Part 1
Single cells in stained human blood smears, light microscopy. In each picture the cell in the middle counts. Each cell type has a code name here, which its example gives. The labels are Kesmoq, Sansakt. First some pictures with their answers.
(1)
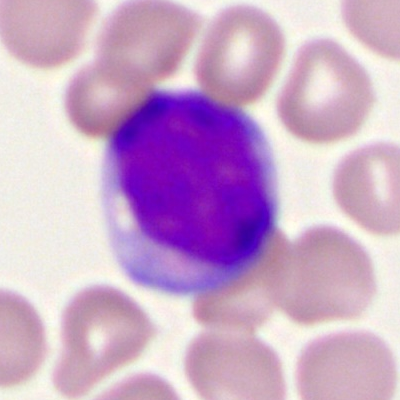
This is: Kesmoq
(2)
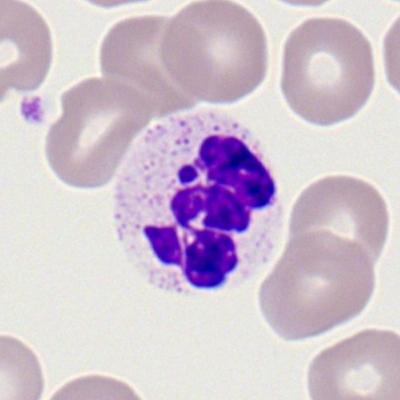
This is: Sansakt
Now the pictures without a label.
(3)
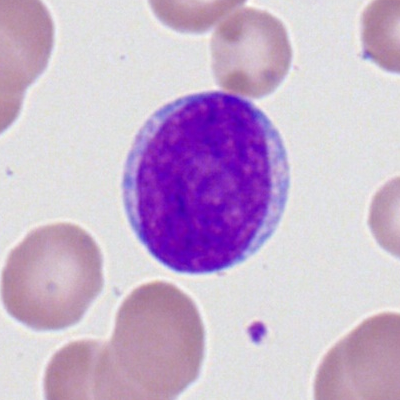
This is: Kesmoq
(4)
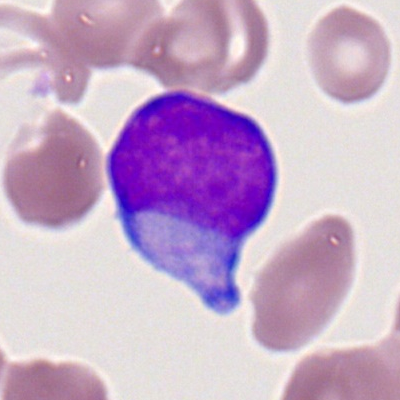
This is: Kesmoq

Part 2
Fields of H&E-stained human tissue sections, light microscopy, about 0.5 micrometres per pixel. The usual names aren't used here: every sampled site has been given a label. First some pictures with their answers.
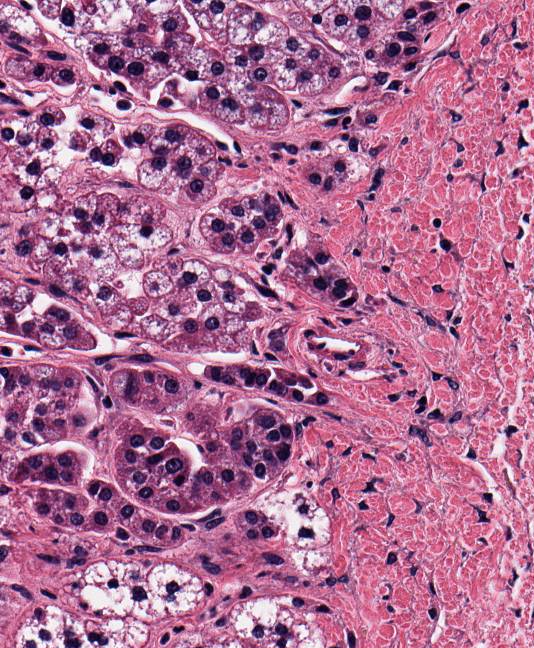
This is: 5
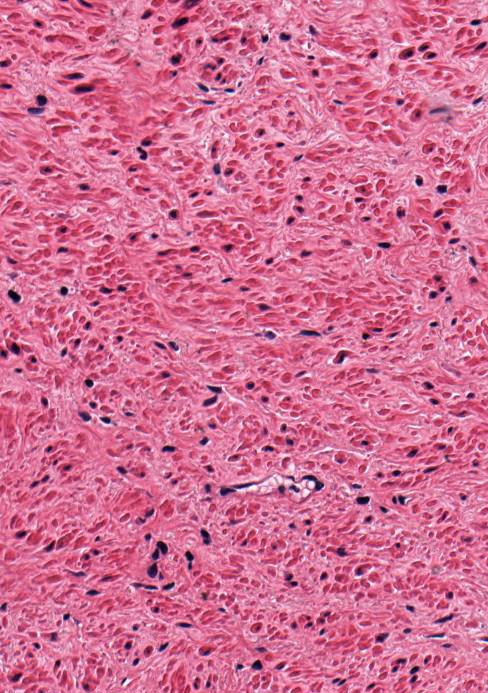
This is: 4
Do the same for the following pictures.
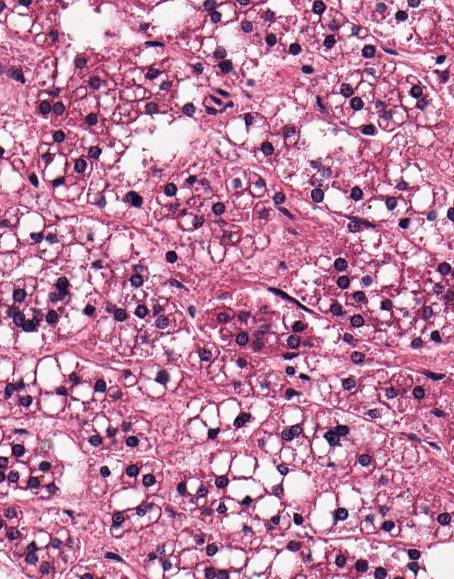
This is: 5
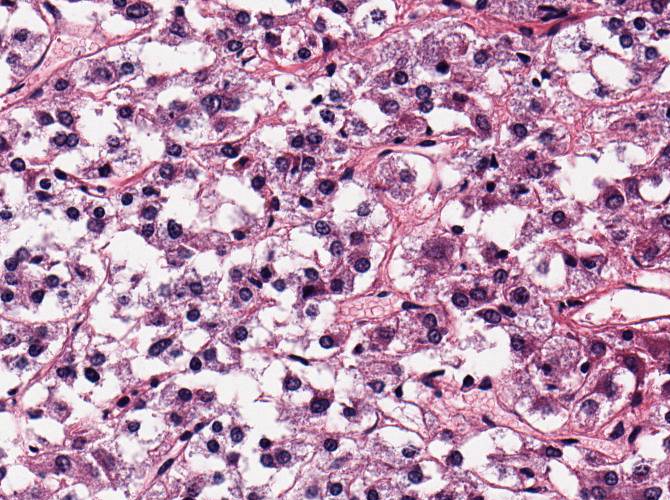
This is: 5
